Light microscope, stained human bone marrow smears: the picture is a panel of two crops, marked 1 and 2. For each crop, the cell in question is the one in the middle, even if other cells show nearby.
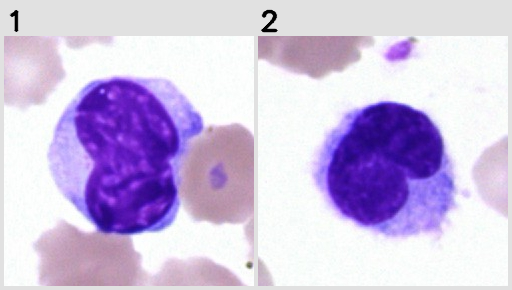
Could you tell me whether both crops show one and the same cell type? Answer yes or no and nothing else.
yes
